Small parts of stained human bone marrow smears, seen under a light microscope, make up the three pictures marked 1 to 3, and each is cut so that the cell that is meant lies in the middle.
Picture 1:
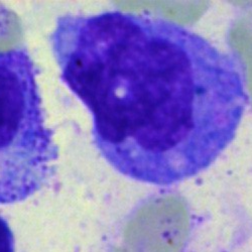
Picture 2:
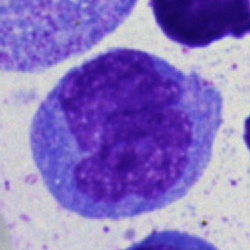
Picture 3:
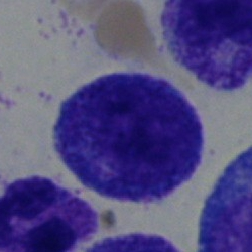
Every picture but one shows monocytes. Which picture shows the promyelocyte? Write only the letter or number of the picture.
3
